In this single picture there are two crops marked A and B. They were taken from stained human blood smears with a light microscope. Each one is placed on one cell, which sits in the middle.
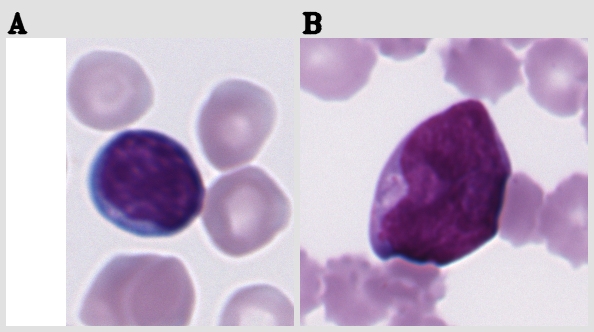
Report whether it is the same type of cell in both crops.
no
